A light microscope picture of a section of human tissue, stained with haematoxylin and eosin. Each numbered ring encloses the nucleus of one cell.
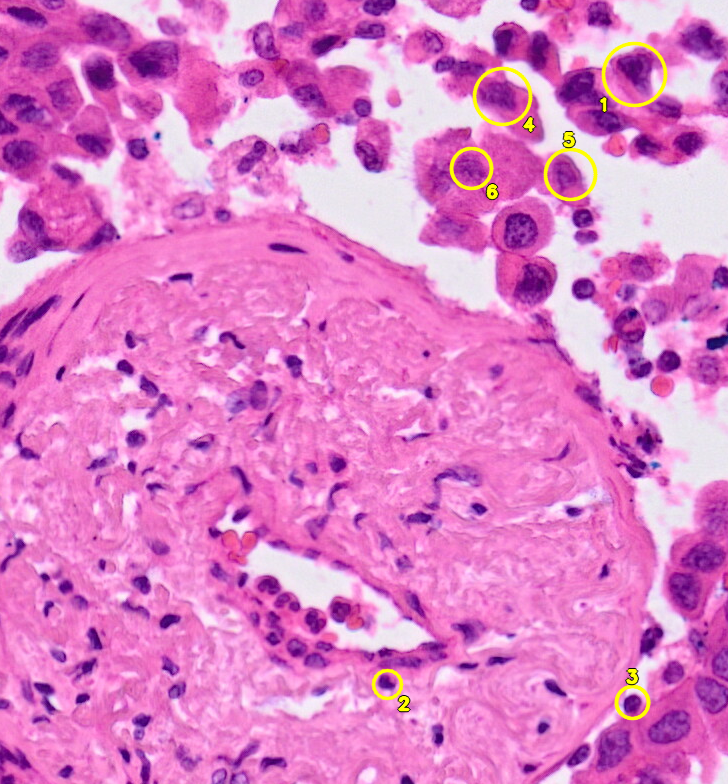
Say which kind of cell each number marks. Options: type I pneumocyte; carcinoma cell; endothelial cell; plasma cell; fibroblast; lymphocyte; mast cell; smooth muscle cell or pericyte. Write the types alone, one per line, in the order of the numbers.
carcinoma cell
lymphocyte
lymphocyte
carcinoma cell
carcinoma cell
carcinoma cell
